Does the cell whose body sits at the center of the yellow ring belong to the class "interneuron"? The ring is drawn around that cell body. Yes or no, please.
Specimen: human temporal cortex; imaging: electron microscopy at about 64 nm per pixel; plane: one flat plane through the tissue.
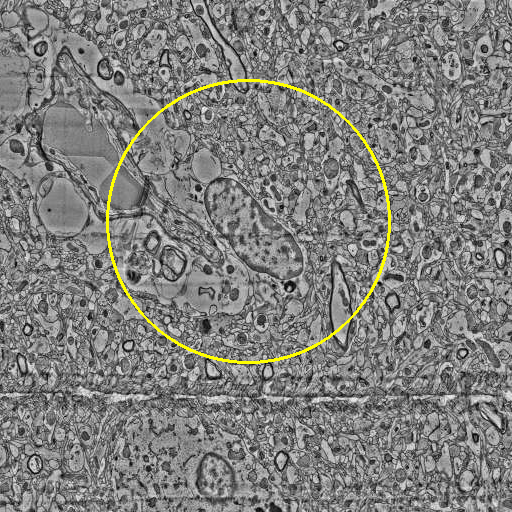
No, it belongs to another class.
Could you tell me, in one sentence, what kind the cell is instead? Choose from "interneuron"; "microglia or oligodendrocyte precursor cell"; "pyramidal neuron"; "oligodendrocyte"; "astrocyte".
The cell enclosed by the ring is a microglial cell or oligodendrocyte precursor cell.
